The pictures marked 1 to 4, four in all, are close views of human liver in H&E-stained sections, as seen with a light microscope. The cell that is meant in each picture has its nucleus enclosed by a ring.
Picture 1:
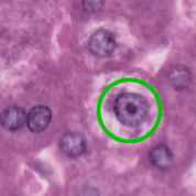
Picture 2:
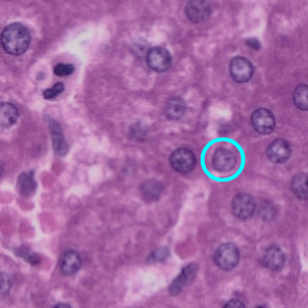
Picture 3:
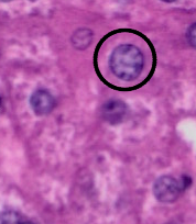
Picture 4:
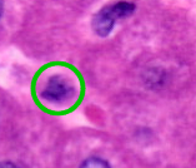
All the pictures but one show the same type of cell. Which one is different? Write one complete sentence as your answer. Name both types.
The others show hepatocytes, but picture 4 shows a Kupffer cell.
